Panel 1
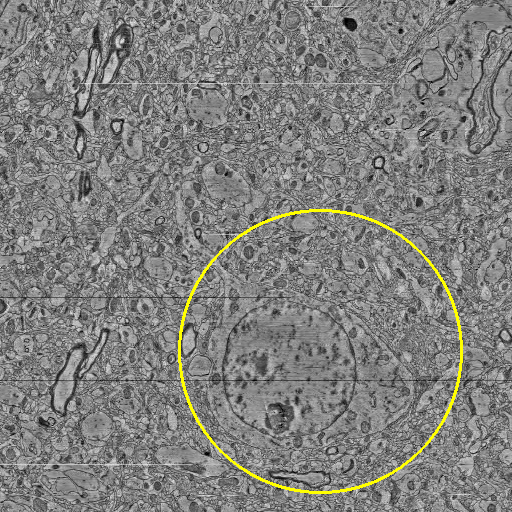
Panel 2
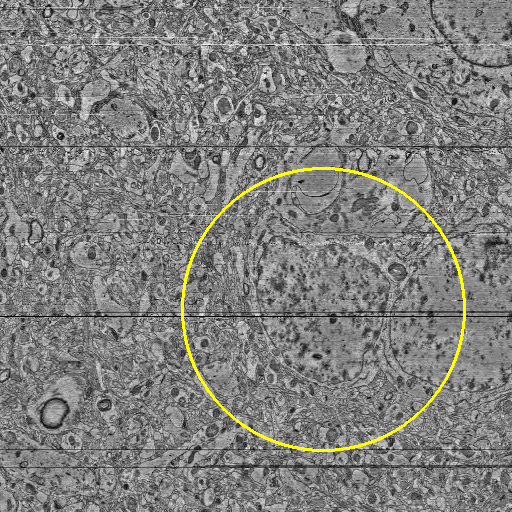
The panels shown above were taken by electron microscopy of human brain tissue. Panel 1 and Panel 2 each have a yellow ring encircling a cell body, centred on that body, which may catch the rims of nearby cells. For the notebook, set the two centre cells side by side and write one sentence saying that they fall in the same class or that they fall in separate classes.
The centred cells of Panel 1 and Panel 2 fall in separate classes.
